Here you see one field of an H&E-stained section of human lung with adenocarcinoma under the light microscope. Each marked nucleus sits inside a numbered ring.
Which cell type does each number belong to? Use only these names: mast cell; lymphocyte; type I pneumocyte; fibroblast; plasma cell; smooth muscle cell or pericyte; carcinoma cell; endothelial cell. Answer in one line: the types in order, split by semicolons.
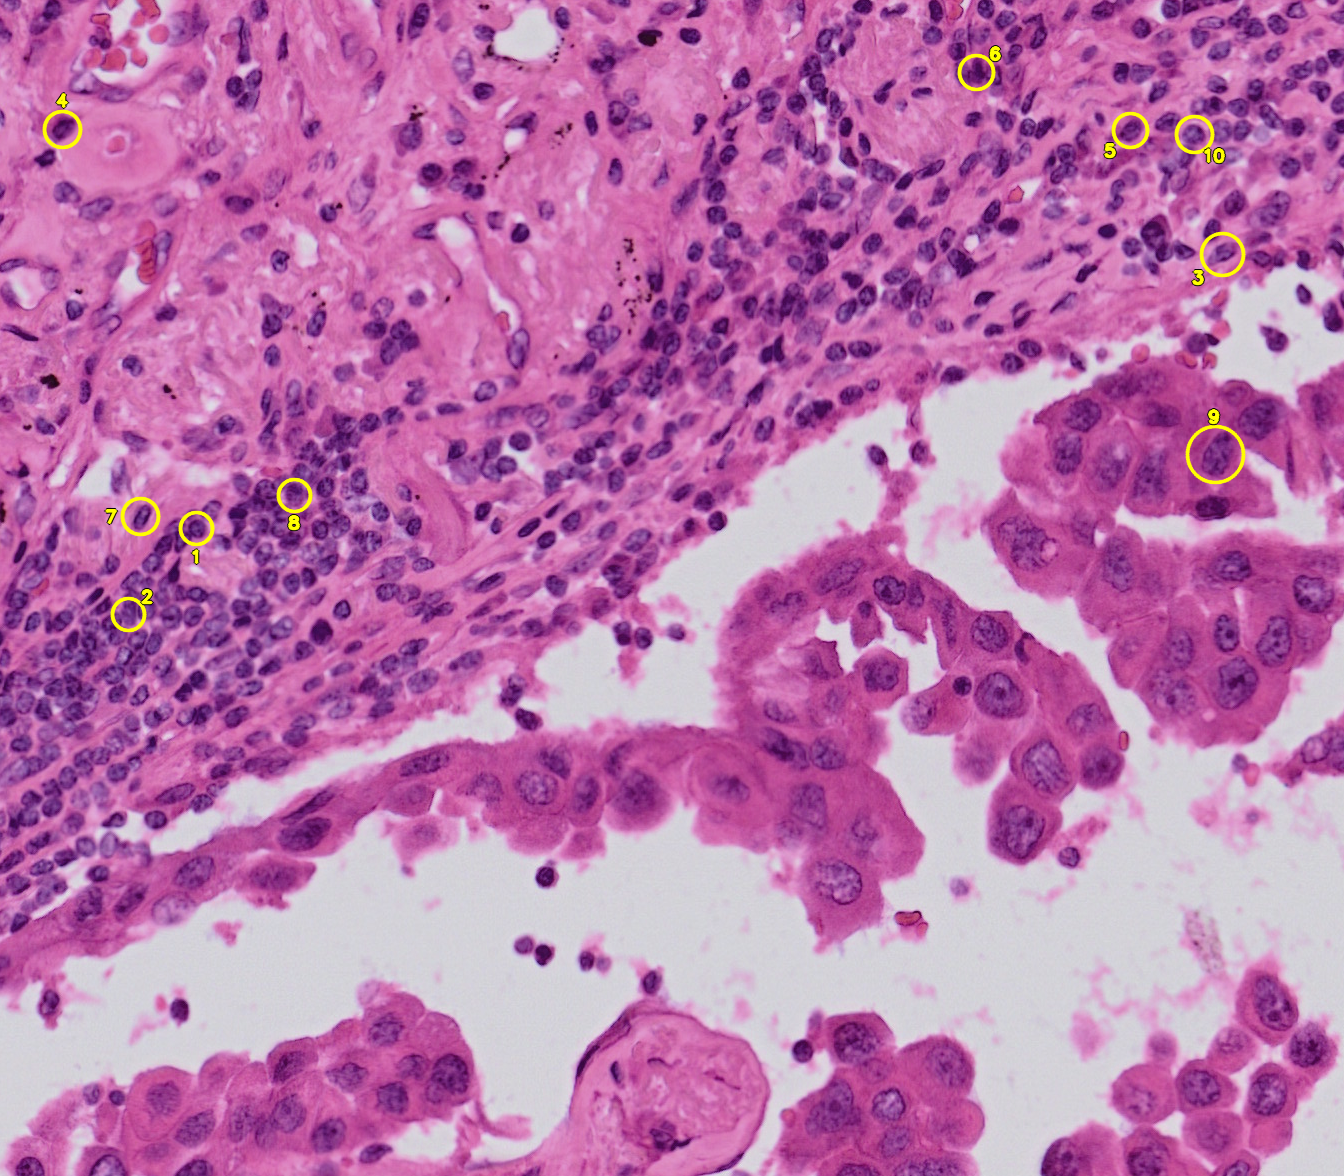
lymphocyte; lymphocyte; lymphocyte; plasma cell; plasma cell; plasma cell; lymphocyte; lymphocyte; carcinoma cell; lymphocyte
